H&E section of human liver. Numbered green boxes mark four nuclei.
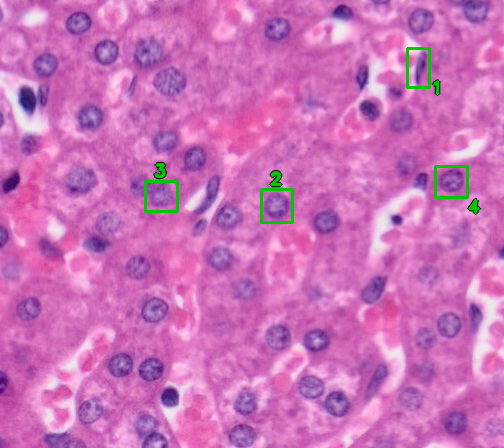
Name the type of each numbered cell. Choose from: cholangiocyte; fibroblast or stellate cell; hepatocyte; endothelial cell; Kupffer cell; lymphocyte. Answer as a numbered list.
1. endothelial cell
2. hepatocyte
3. hepatocyte
4. hepatocyte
